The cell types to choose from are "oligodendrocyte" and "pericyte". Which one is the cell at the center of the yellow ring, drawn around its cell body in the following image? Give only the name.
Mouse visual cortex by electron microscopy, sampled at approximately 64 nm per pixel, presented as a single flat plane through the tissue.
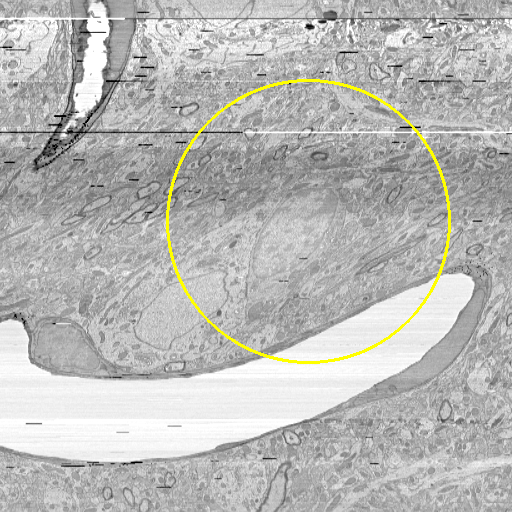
oligodendrocyte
